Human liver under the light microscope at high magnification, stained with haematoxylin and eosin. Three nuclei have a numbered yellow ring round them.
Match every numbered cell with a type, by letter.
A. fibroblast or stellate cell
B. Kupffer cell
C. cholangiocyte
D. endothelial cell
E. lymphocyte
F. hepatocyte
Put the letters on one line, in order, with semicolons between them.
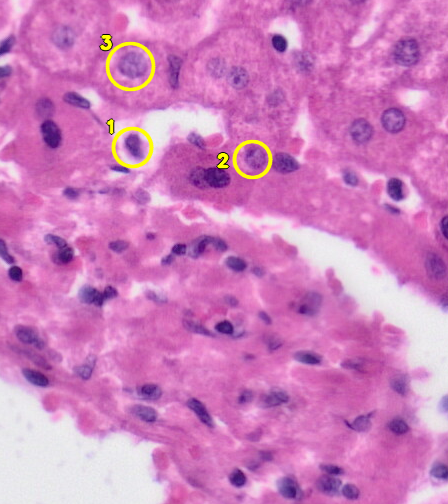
B; F; F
